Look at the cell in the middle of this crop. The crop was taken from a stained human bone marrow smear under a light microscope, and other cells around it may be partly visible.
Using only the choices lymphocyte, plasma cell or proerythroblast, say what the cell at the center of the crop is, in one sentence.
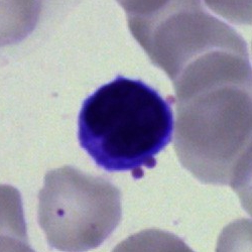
The cell that lies at the centre of the crop is a lymphocyte.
